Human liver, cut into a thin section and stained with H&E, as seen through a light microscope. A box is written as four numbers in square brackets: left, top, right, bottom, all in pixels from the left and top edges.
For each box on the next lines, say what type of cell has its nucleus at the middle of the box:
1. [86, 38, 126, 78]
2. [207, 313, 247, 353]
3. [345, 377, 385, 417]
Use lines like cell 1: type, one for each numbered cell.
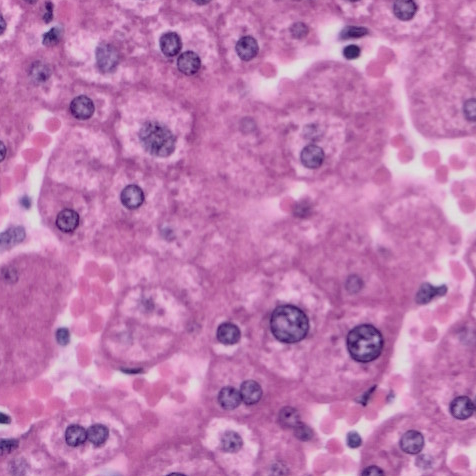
cell 1: hepatocyte
cell 2: hepatocyte
cell 3: endothelial cell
